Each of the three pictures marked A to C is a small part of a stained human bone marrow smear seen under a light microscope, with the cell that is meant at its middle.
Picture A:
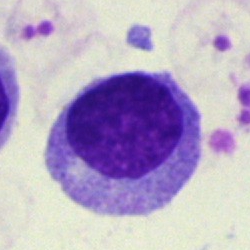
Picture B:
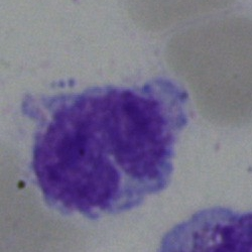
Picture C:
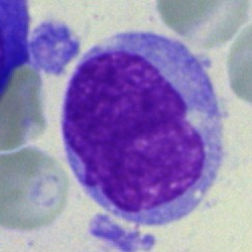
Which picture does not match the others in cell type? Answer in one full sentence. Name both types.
The different one is picture A; it shows a myelocyte, whereas all the others show monocytes.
